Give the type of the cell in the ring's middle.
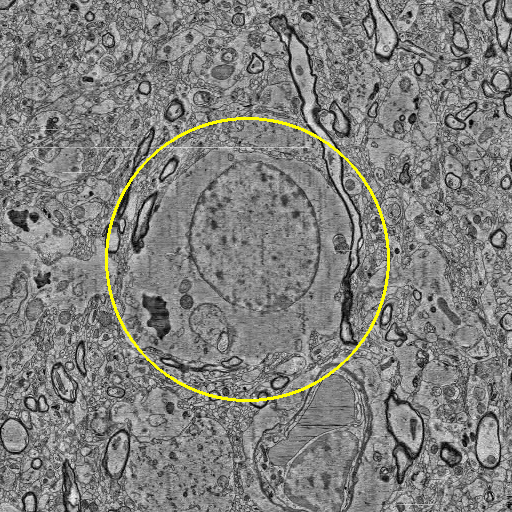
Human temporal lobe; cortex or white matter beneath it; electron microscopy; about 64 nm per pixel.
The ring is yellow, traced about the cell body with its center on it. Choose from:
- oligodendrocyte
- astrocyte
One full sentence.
Here, an astrocyte is the cell lying at the center of the yellow ring.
